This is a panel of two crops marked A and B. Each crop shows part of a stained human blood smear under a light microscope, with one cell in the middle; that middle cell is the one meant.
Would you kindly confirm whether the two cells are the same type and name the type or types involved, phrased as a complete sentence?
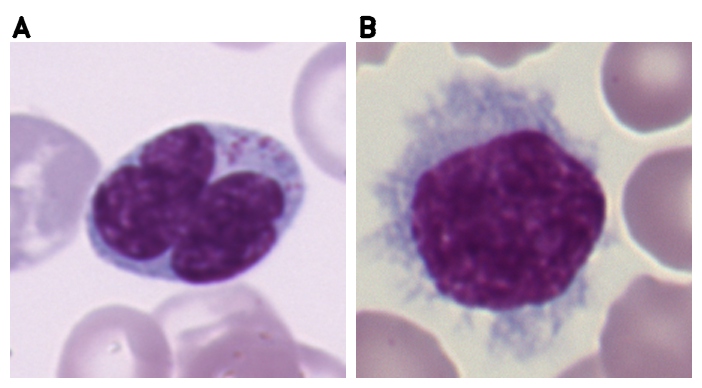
No, the central cell of crop A is a large granular lymphocyte; that of crop B is a hairy cell.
